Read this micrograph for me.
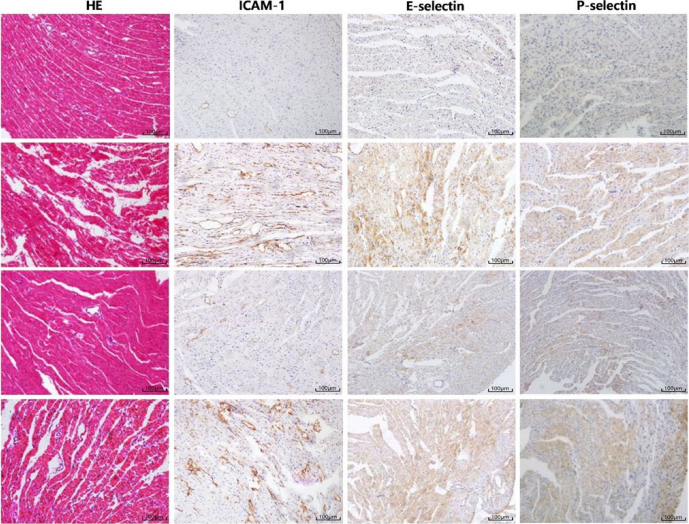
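In some sections the fibres are pulled apart by pale white clefts, so the bundles look loosened and wavy. The other columns show the same tissue with a blue counterstain and a brown reaction product; in some rows the brown colour is faint and the tissue looks mostly pale blue-grey, while in other rows brown streaks and patches follow the spaces between fibres and small vessels.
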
